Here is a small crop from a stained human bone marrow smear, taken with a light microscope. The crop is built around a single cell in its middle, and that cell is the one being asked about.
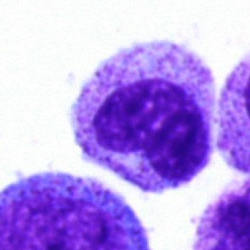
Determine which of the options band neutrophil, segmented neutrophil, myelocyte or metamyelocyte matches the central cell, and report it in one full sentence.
Classified as a metamyelocyte is the cell in the middle of this crop.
